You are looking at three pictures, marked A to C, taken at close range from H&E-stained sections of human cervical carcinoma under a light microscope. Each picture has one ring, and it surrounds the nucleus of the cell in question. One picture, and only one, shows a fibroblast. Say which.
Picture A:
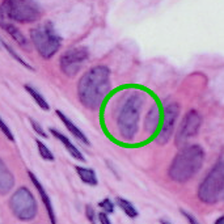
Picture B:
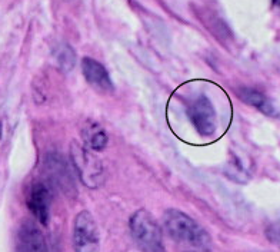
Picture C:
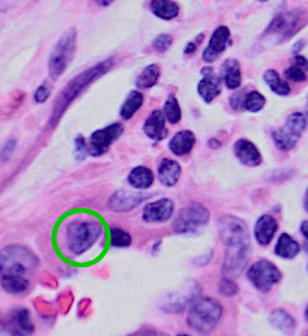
B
